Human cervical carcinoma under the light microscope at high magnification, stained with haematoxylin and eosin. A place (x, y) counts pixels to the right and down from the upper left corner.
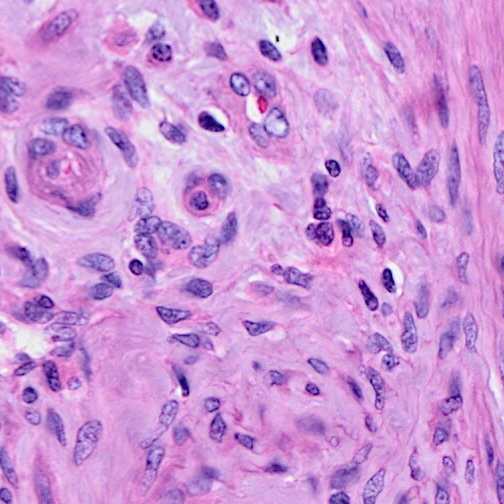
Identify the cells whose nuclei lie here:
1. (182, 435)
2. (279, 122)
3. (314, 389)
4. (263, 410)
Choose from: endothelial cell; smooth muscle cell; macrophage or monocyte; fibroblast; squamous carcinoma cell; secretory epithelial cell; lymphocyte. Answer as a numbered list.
1. smooth muscle cell
2. endothelial cell
3. smooth muscle cell
4. smooth muscle cell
